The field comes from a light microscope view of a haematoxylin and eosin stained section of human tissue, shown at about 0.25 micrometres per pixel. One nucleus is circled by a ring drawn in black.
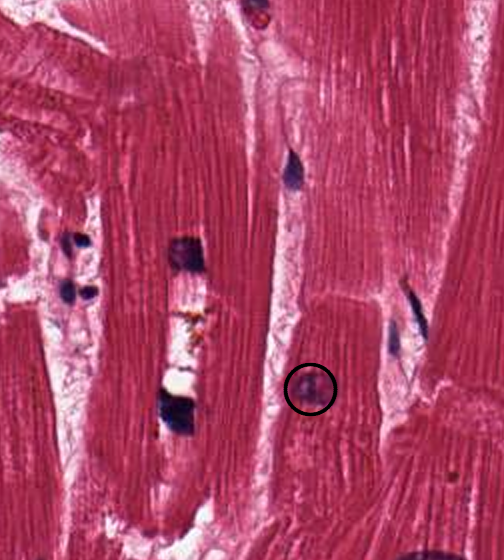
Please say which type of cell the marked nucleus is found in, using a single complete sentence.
Located in a cardiomyocyte is the marked nucleus.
